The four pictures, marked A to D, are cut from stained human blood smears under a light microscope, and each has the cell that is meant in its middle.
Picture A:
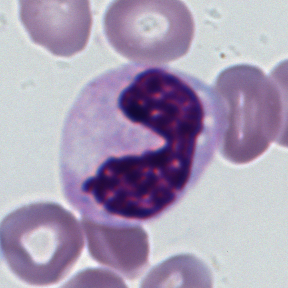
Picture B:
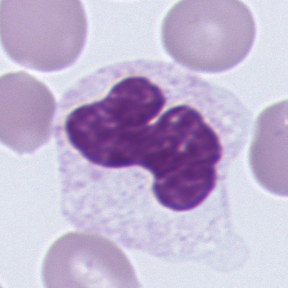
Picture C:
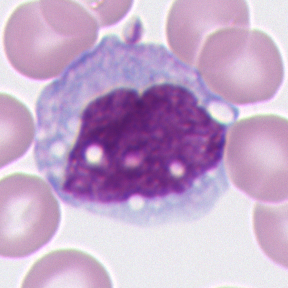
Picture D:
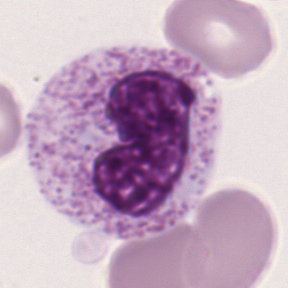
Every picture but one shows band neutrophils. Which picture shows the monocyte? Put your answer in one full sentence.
The cell in picture C is the monocyte.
